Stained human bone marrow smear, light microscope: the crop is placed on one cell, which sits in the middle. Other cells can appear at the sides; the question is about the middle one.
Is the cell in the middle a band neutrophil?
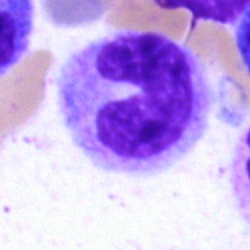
yes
